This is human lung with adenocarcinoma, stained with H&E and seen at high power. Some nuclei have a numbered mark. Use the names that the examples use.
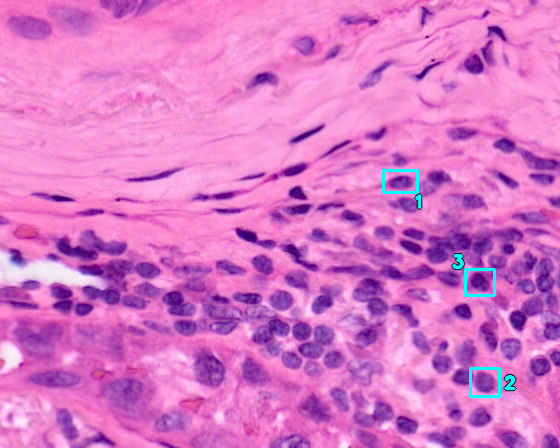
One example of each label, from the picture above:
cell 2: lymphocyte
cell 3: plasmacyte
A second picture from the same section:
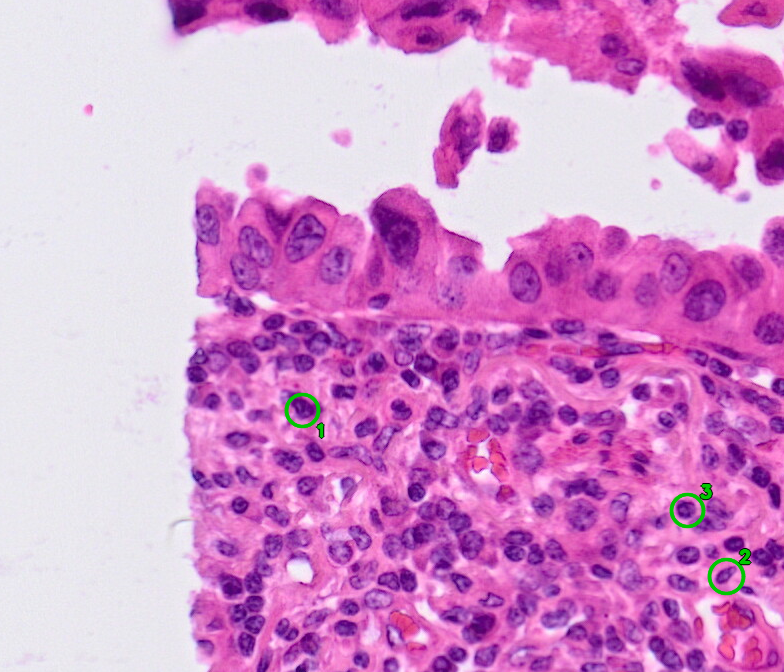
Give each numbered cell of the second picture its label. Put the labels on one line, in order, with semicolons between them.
plasmacyte; lymphocyte; lymphocyte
